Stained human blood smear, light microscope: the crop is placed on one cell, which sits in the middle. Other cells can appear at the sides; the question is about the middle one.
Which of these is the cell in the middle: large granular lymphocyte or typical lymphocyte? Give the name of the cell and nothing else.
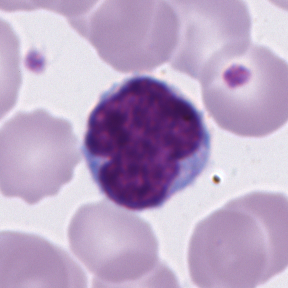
typical lymphocyte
